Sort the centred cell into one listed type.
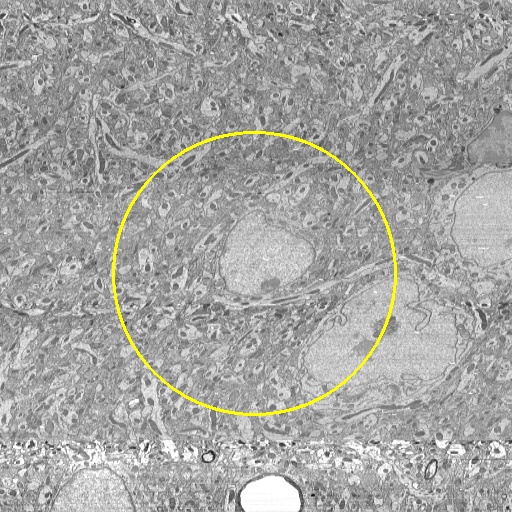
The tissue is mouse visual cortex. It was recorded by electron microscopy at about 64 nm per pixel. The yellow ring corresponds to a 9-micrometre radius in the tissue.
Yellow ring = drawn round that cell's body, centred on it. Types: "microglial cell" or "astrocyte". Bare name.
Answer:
astrocyte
